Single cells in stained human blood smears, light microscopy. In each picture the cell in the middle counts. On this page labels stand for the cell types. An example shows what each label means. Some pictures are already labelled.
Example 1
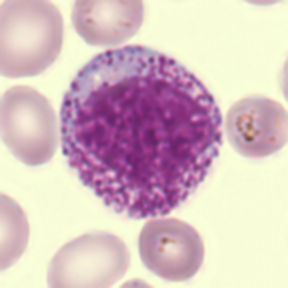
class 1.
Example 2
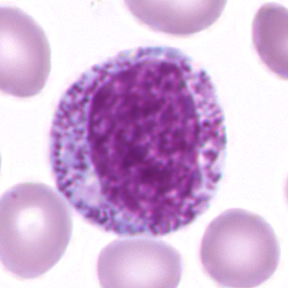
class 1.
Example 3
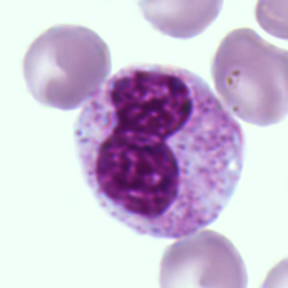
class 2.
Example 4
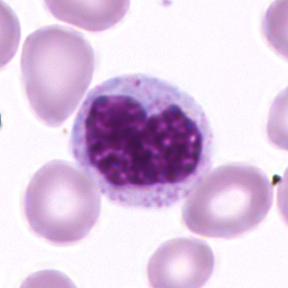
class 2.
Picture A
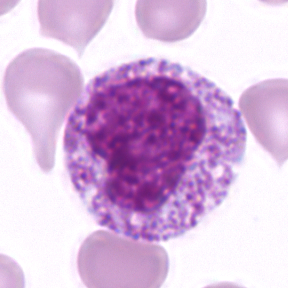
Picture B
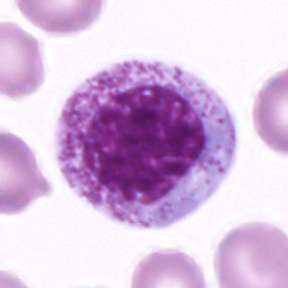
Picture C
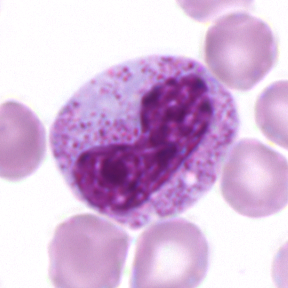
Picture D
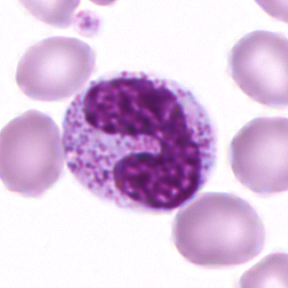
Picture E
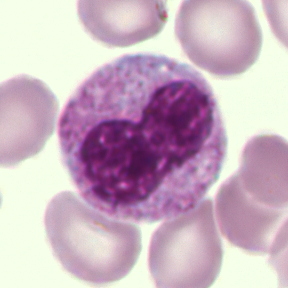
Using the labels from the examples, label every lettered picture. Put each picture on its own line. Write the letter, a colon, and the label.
A: class 1.
B: class 1.
C: class 2.
D: class 2.
E: class 2.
